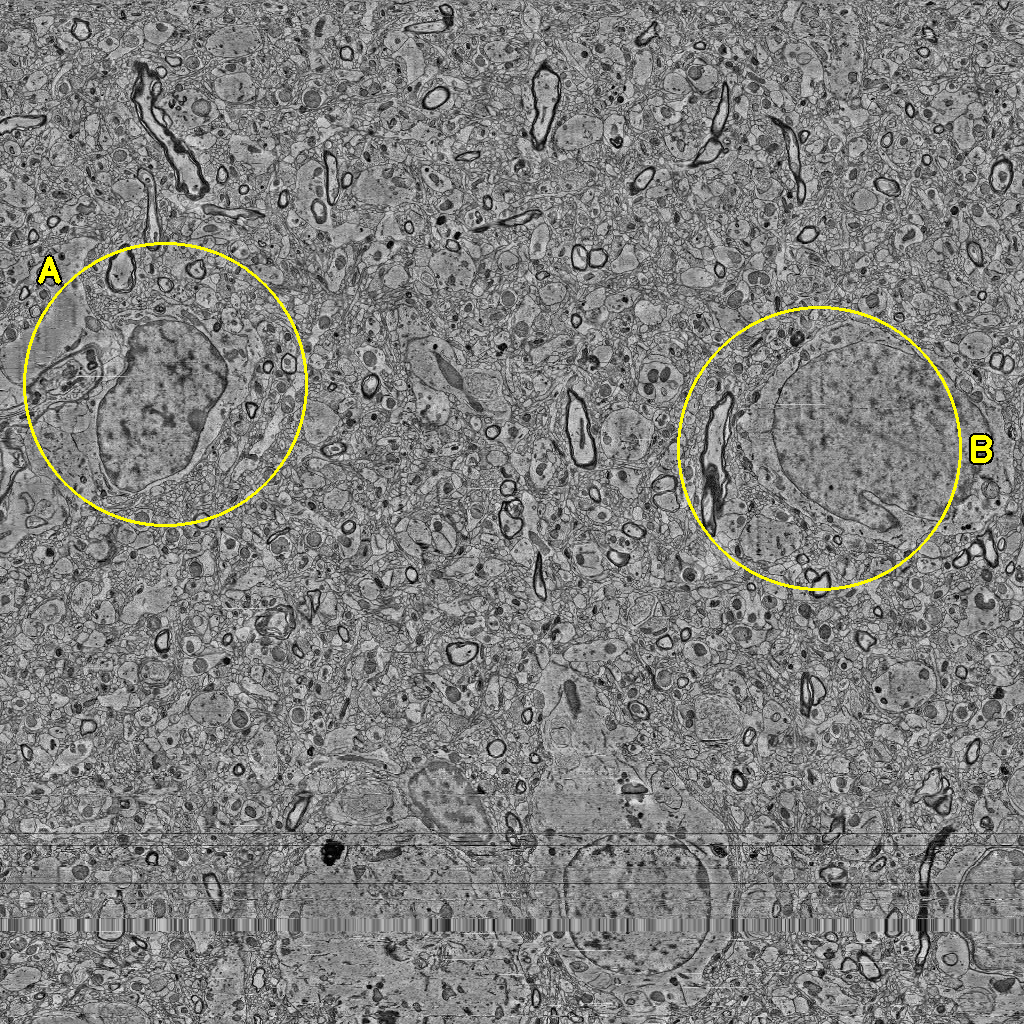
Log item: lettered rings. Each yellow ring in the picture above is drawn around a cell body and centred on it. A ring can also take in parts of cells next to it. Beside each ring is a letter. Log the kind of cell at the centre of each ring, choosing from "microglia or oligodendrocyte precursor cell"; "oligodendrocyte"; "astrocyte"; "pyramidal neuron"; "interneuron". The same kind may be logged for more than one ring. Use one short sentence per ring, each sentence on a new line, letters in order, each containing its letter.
Within ring A, the centre is taken by a microglial cell or oligodendrocyte precursor cell.
Within ring B, the centre is taken by an interneuron.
